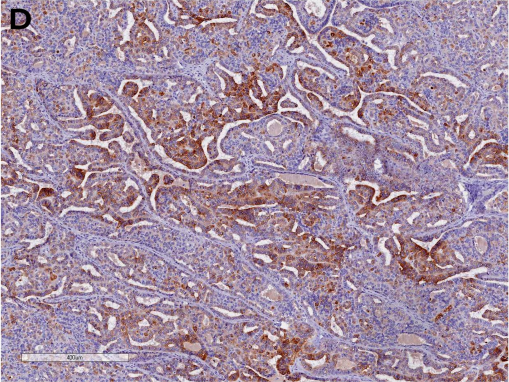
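Tumor cells form glands and branching tubules with open, slit-like lumens, separated by bands of pale blue stroma. Brown staining fills the cytoplasm of the tumor cells in large patches, while other groups of glands stay only blue. Some lumens contain small pale pink droplets of secretion.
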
